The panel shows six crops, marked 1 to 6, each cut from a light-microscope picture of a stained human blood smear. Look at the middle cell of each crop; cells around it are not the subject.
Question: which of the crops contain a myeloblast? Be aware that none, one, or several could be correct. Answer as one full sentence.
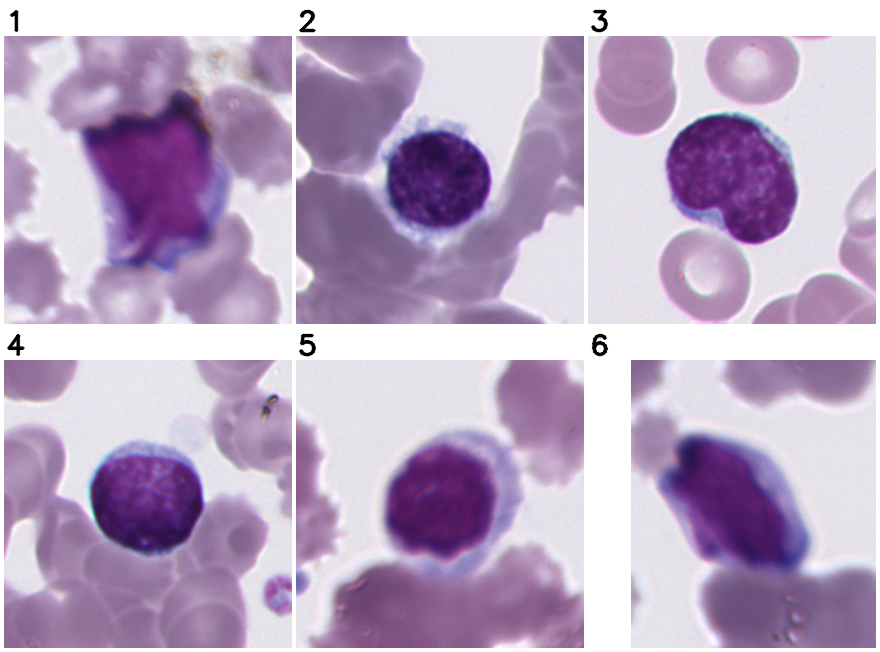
For crops 1 and 6, the central cells are myeloblasts.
